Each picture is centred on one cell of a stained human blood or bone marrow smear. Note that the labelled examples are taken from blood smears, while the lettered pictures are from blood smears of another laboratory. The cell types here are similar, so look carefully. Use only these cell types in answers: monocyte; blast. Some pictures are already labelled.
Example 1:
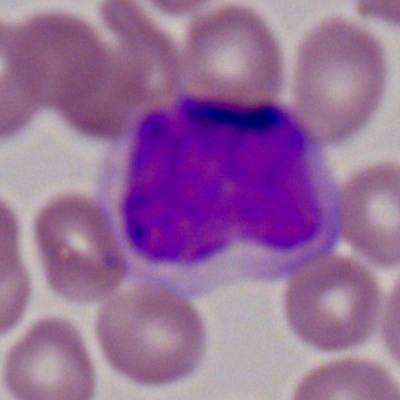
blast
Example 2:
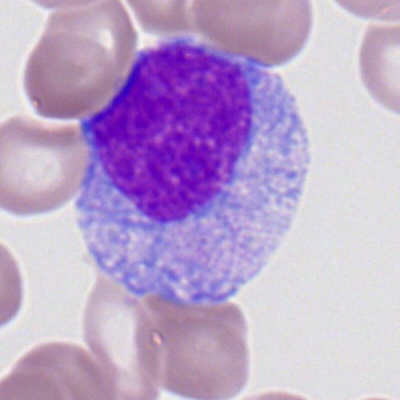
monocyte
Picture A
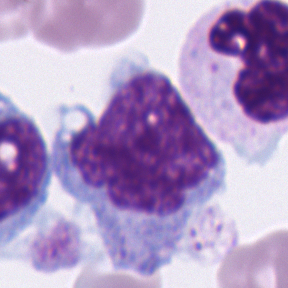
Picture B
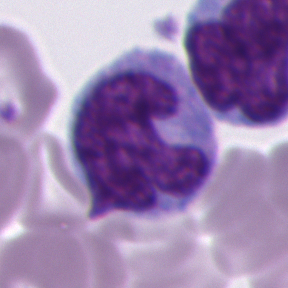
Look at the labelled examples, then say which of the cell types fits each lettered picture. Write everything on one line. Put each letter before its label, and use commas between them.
A monocyte, B monocyte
